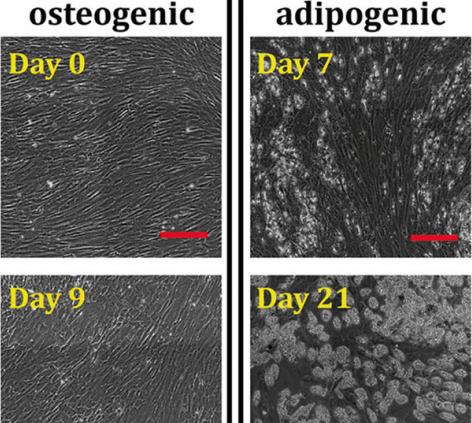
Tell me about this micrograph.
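Cultured mesenchymal stem cells seen by phase contrast, with a dense, confluent layer of spindle-shaped cells in the left-hand images. The elongated cells lie side by side in parallel, swirling arrays with little free space between them. In the upper right image bright, granular refractile clusters appear in patches among streams of spindle cells. In the lower right image numerous rounded, bright clusters of droplets crowd much of the field, separated by darker flat areas.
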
